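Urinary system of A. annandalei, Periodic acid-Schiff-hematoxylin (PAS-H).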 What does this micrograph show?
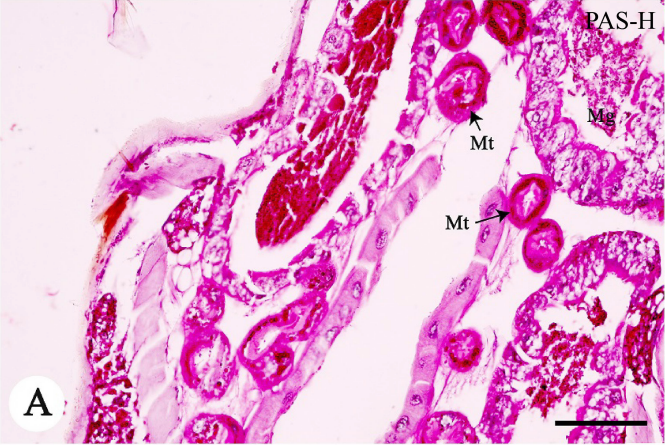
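This section shows Malpighian tubules cut across, lying among the gut and other body tissues. Each tubule is a small round profile with a thick wall that stains intensely magenta and a narrow, irregular central lumen. The tubules lie in clusters in the spaces of the body cavity. To the right is part of the midgut, with a folded epithelium of tall cells around a lumen containing flocculent pink material. Elsewhere are masses of dark red-staining tissue and pale, elongate fibres.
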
